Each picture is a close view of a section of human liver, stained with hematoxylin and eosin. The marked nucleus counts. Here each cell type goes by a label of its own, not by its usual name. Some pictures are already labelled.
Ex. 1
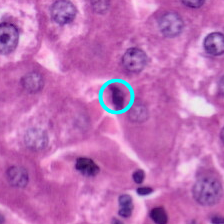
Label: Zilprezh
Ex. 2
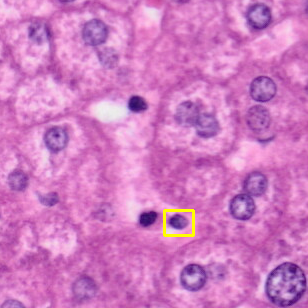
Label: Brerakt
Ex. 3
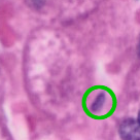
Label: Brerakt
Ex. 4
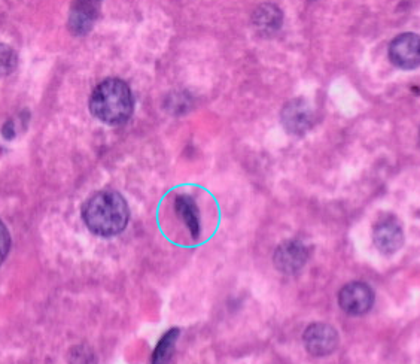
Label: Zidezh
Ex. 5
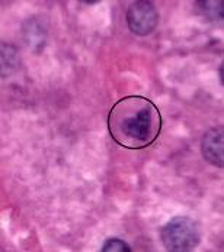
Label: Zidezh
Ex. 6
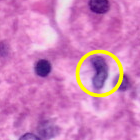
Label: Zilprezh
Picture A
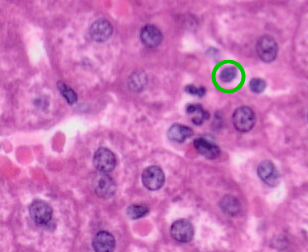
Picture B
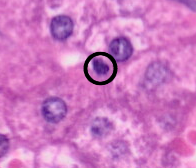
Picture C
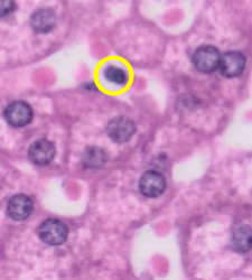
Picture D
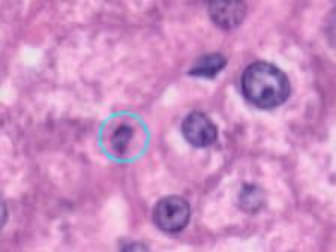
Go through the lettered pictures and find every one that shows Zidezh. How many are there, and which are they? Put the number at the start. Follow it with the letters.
Count: 2 (B, D)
